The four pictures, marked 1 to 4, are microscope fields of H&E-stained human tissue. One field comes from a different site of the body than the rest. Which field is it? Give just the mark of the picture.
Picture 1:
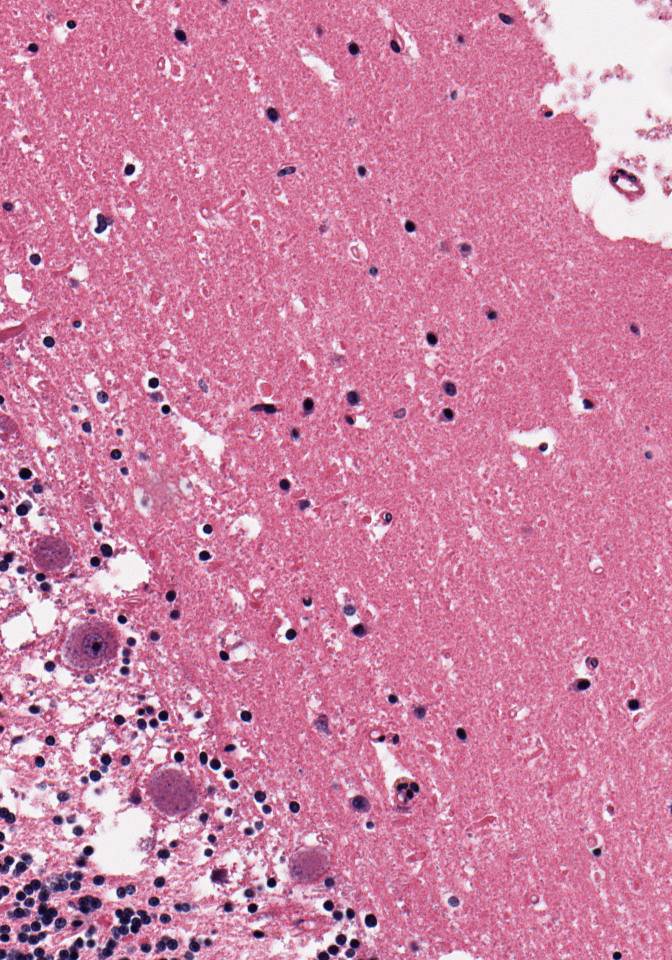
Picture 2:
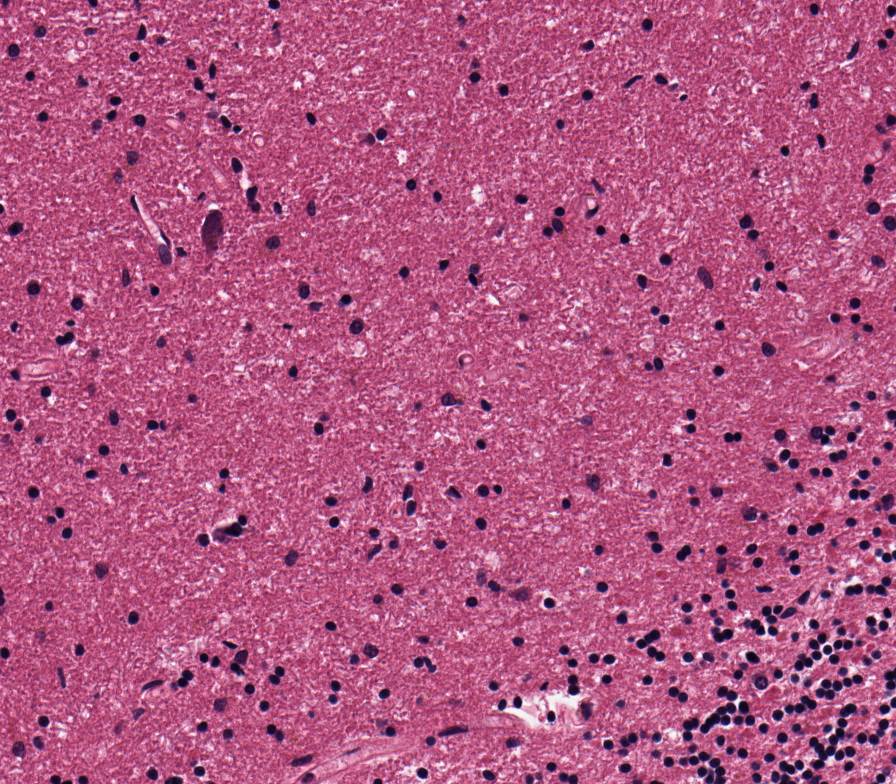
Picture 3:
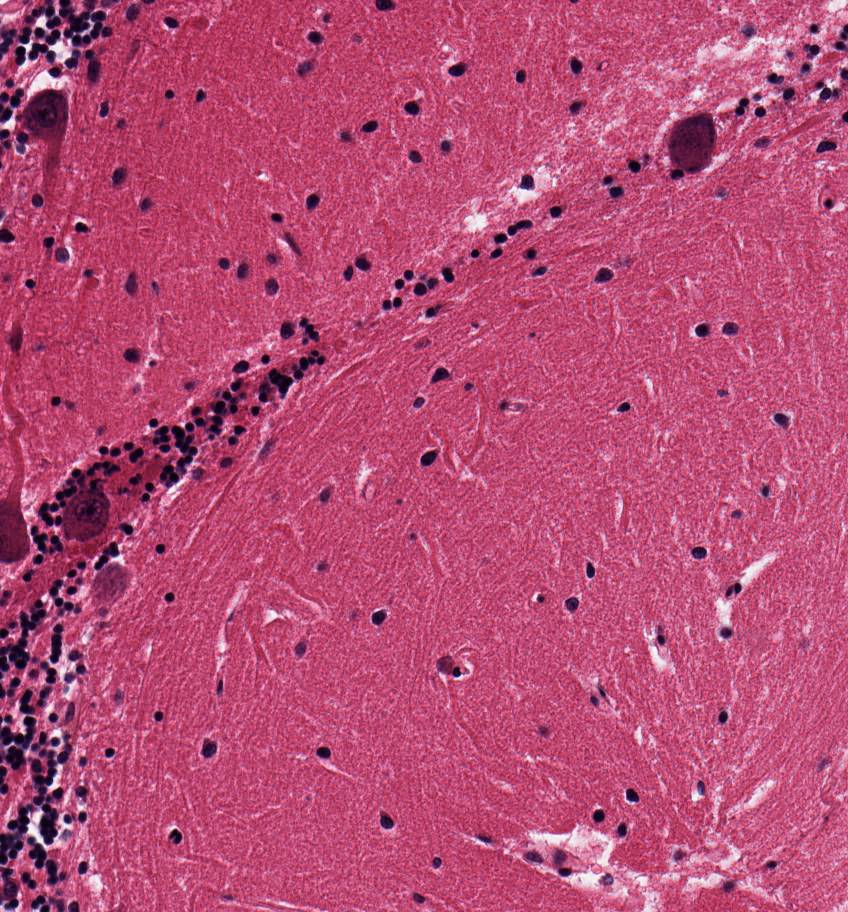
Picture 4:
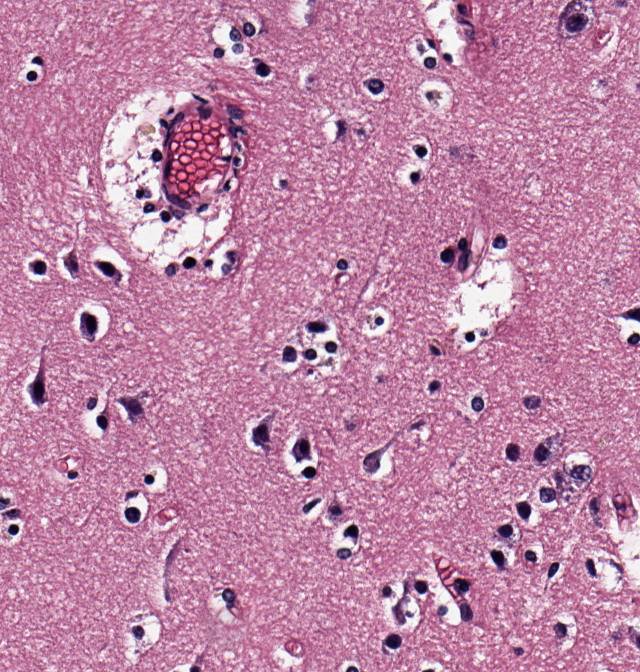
4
